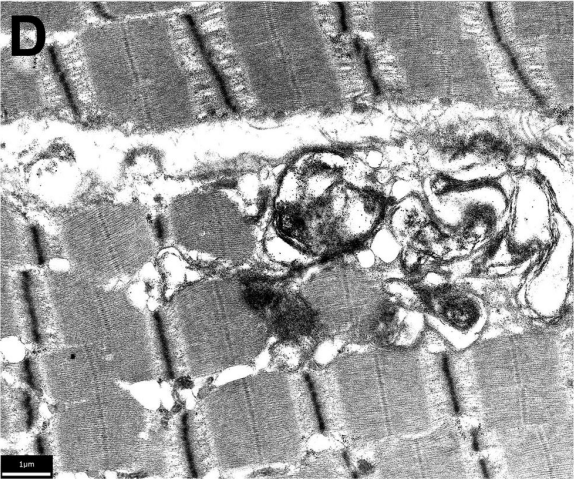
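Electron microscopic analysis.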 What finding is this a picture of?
Subsarcolemmal accumulation of membranous material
